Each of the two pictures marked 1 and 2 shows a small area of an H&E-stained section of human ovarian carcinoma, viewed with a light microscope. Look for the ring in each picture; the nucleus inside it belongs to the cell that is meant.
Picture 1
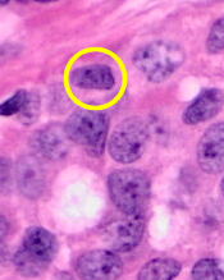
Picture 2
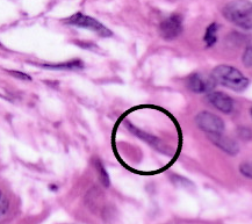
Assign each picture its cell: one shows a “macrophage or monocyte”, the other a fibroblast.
1: macrophage or monocyte
2: fibroblast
